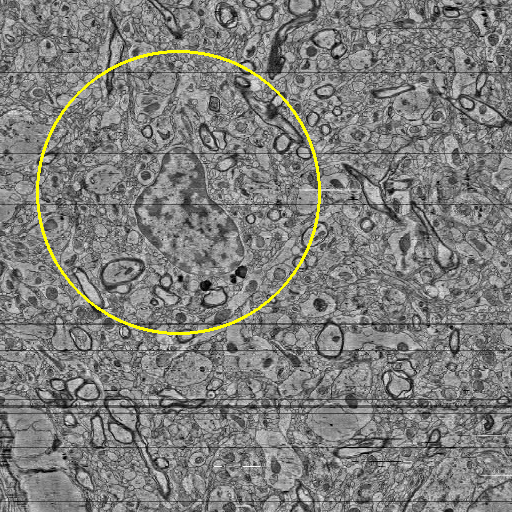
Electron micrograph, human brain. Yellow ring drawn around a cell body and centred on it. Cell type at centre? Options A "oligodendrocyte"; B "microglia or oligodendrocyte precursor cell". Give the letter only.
B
